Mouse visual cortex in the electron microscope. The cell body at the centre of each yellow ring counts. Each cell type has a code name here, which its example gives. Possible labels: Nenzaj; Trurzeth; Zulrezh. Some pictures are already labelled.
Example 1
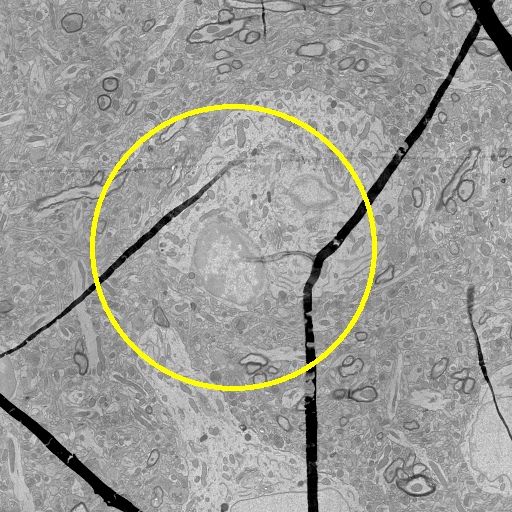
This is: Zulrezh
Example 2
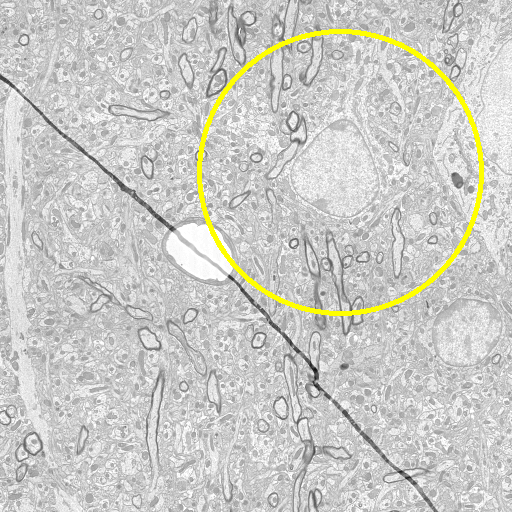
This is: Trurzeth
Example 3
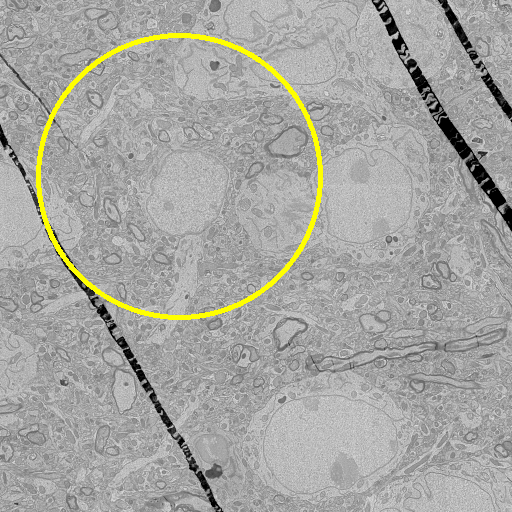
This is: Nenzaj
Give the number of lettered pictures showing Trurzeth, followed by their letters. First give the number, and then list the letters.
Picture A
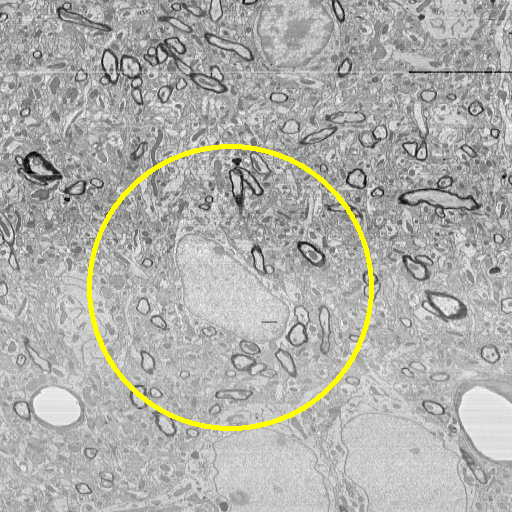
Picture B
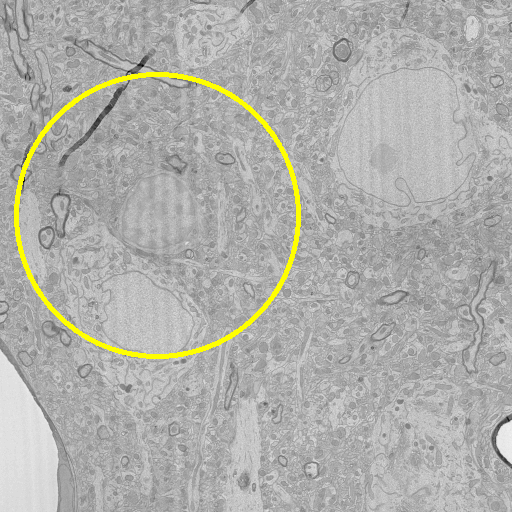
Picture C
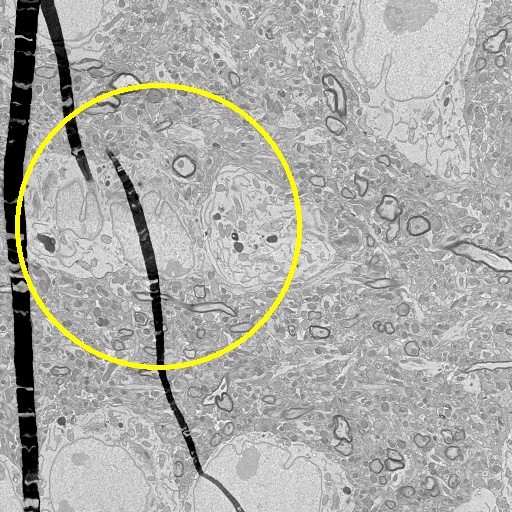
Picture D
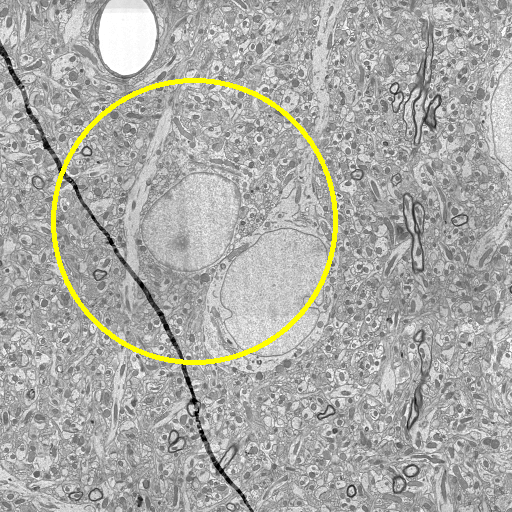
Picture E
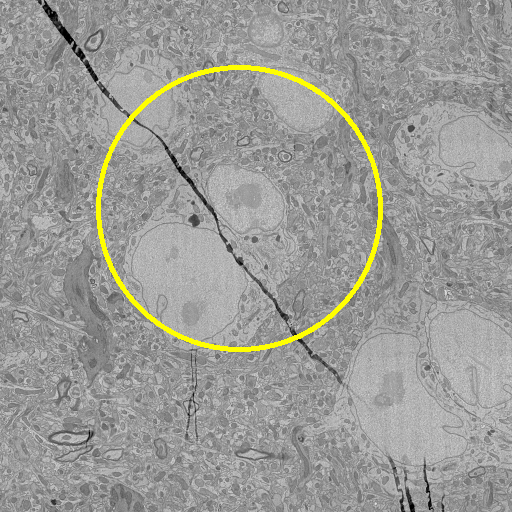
Count: 2 (A, D)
